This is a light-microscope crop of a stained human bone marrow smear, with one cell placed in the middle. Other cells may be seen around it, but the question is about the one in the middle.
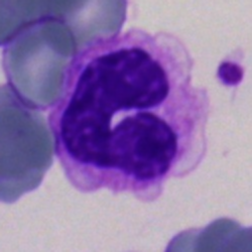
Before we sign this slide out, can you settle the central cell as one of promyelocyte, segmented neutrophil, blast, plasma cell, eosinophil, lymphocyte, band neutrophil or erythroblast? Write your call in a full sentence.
Centrally within this crop lies a band neutrophil.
